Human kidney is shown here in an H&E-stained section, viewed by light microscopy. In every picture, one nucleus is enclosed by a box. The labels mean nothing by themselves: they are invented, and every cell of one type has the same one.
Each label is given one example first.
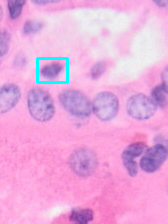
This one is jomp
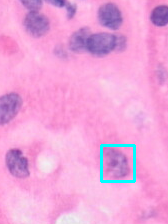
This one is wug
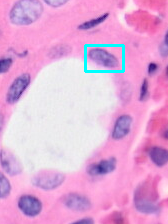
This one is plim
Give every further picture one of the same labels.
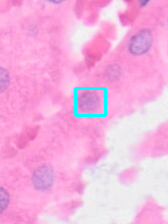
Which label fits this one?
wug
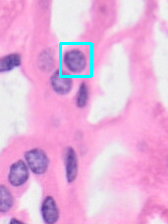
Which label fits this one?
jomp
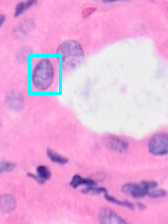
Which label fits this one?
plim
